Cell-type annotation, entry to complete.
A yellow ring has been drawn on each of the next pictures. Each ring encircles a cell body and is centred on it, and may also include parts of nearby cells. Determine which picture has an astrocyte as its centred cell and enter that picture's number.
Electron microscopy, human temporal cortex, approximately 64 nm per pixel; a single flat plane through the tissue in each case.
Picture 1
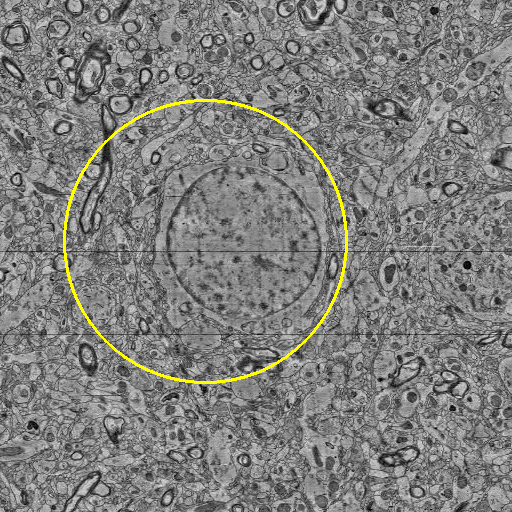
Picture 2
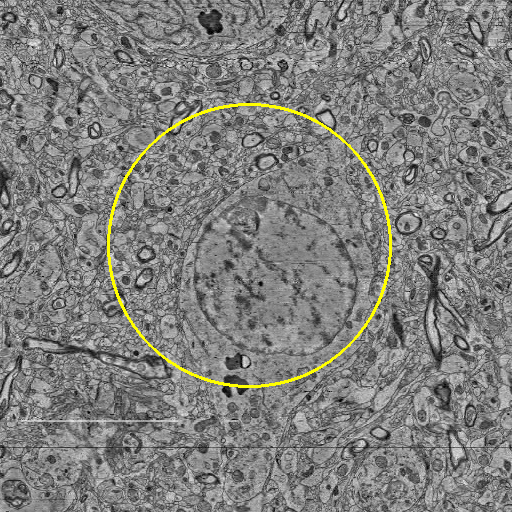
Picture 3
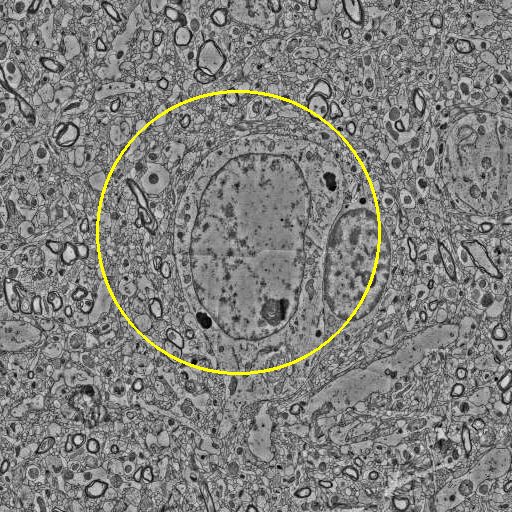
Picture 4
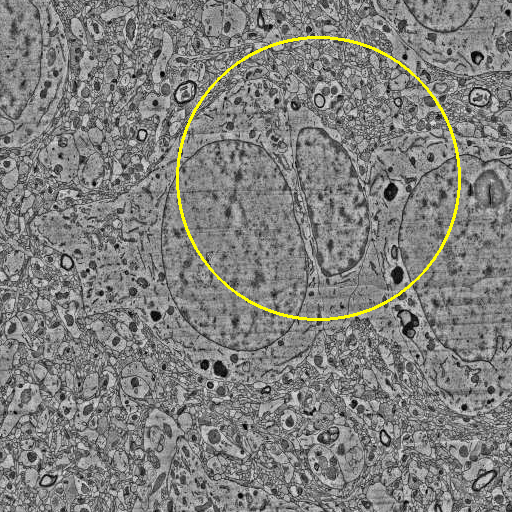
1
